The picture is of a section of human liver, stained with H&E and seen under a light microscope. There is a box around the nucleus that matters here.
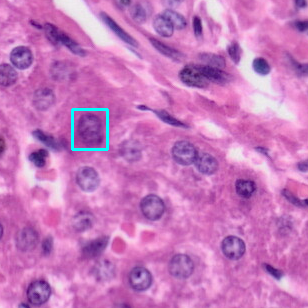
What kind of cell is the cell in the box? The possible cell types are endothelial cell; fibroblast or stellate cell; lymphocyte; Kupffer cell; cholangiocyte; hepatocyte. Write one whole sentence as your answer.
As far as its identity is concerned, the cell in the box is a hepatocyte.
